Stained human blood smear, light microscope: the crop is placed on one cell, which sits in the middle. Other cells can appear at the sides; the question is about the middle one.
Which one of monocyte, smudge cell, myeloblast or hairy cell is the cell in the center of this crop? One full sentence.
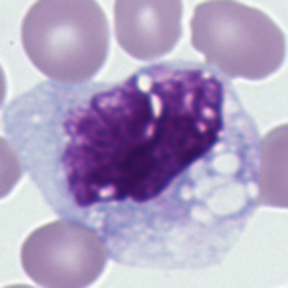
The central cell shown in this smear crop is a monocyte.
